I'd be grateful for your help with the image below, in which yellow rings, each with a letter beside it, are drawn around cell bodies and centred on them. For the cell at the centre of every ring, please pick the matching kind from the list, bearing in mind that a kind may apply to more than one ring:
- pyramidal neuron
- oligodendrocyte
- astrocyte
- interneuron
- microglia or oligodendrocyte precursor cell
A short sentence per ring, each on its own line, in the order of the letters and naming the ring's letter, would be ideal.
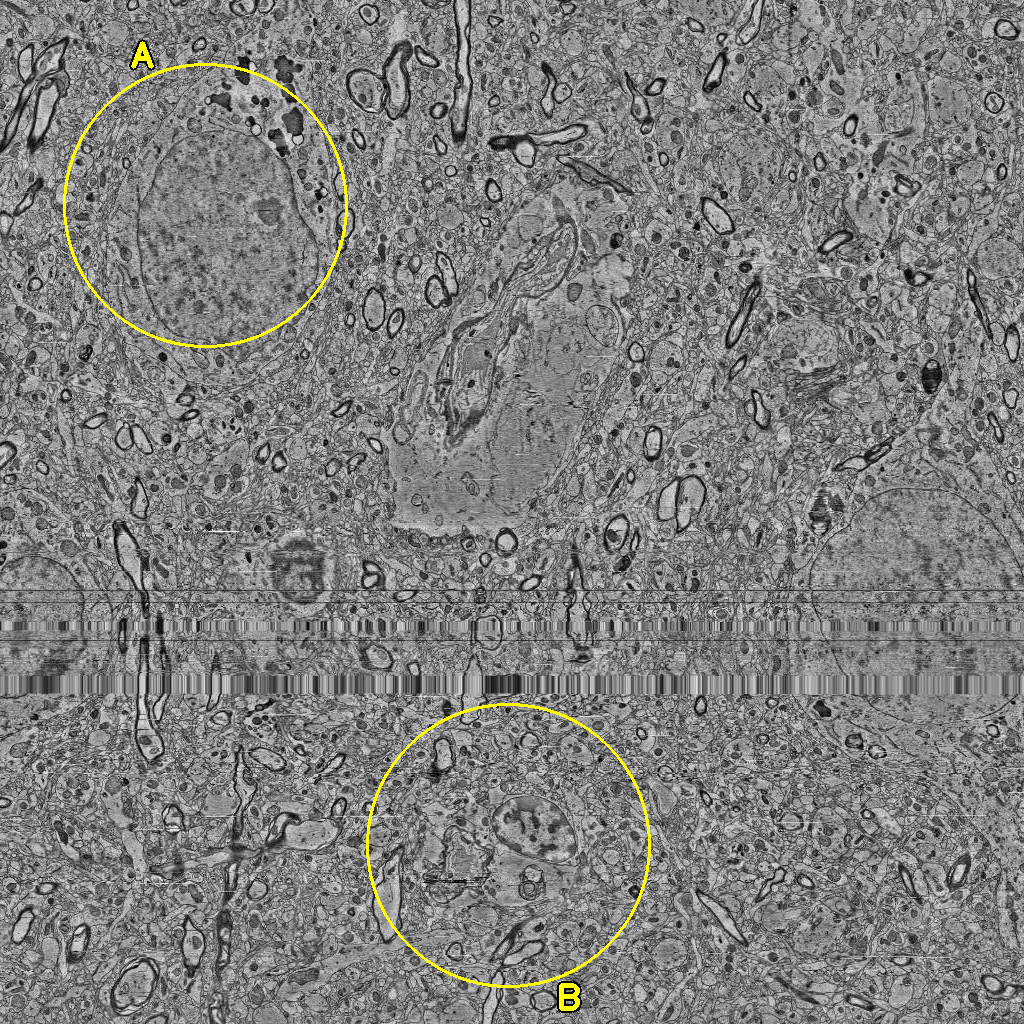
Inside ring A, the central cell is an interneuron.
Inside ring B, the central cell is a microglial cell or oligodendrocyte precursor cell.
